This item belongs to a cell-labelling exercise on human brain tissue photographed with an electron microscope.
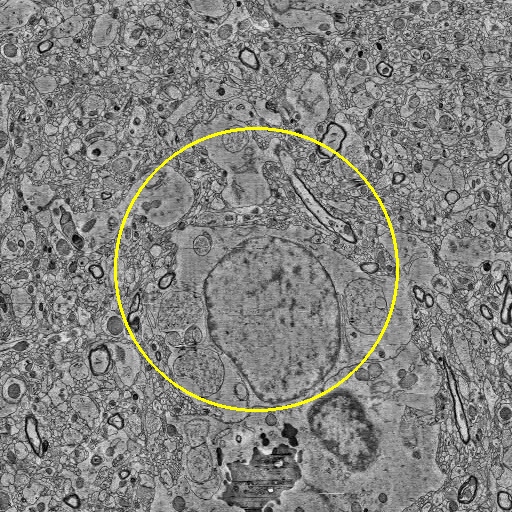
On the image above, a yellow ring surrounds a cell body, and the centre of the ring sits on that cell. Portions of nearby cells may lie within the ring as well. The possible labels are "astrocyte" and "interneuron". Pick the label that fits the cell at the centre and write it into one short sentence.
This cell should be labelled as an astrocyte.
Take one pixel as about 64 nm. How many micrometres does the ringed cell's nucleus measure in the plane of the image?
In this plane the nucleus measures roughly 11 by 9 micrometres.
